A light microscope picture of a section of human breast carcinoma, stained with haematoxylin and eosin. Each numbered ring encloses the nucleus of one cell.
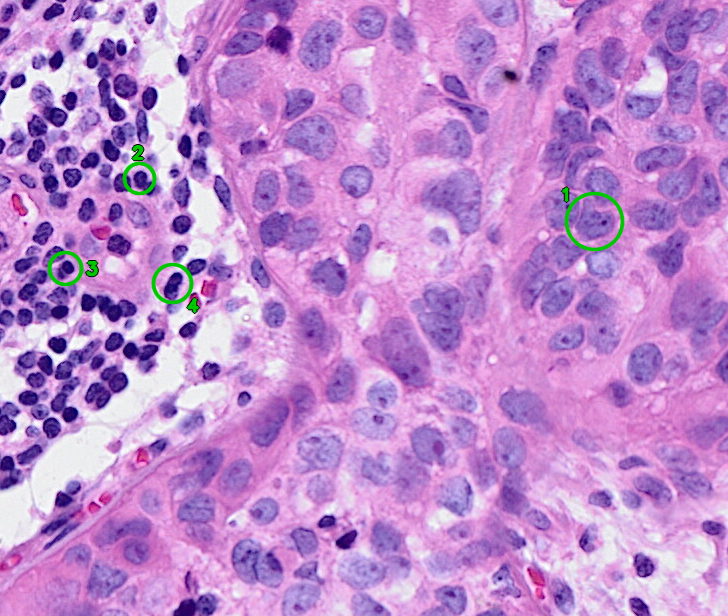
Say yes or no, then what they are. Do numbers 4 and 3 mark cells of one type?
Yes, both are lymphocytes.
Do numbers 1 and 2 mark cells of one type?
No, cell 1 is a carcinoma cell and cell 2 is a lymphocyte.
